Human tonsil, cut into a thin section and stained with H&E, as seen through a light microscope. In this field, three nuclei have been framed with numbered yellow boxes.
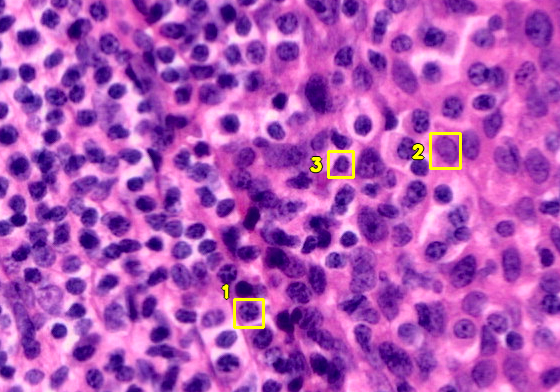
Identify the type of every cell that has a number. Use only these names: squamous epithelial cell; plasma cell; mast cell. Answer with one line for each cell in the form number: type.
1: plasma cell
2: squamous epithelial cell
3: squamous epithelial cell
